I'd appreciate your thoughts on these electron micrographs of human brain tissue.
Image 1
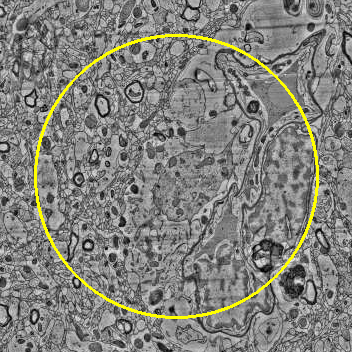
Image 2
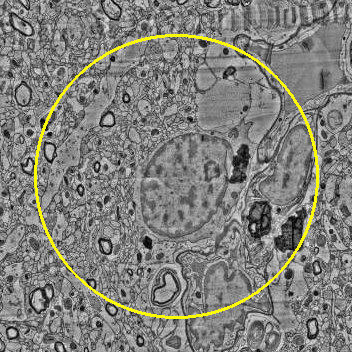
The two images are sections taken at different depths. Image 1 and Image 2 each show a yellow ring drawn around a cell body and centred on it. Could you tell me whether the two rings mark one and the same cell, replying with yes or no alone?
yes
